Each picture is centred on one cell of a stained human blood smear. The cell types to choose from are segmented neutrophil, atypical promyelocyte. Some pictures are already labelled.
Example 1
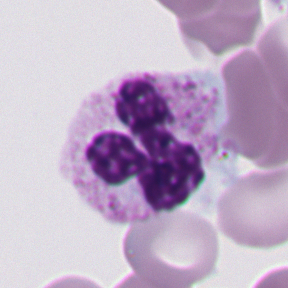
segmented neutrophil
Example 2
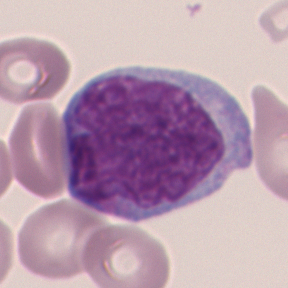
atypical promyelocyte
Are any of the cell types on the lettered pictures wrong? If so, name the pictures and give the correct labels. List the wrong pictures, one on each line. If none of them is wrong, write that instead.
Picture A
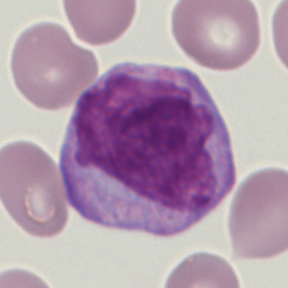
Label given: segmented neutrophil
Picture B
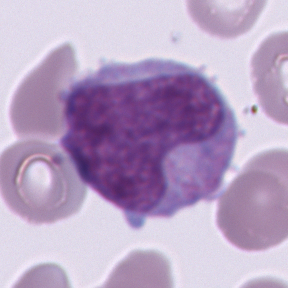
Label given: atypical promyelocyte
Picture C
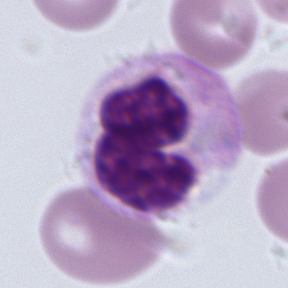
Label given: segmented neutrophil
A is labelled segmented neutrophil; correct label: atypical promyelocyte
